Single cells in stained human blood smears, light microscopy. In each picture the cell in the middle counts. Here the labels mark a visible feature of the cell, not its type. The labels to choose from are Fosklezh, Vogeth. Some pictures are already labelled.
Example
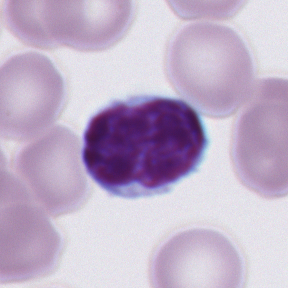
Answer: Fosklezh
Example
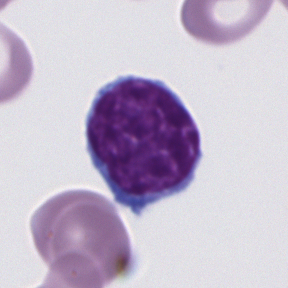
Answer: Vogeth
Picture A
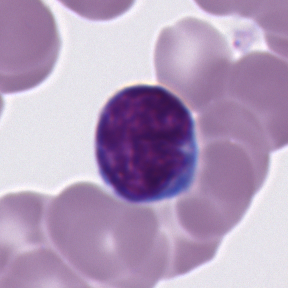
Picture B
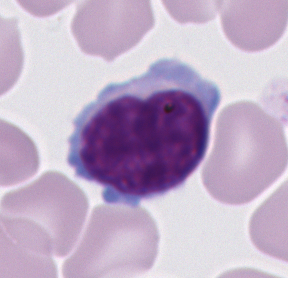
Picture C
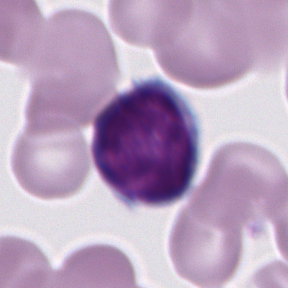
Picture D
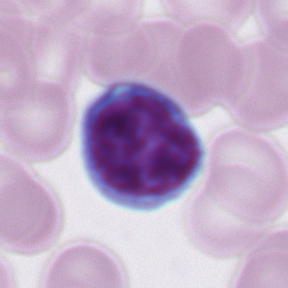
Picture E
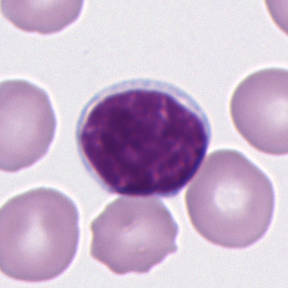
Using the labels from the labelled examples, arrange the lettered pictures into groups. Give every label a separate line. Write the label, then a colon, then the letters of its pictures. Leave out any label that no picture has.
Fosklezh: A, D, E
Vogeth: B, C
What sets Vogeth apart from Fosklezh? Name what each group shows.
Seen in Vogeth: ragged outline or projections; seen in Fosklezh: smooth outline.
